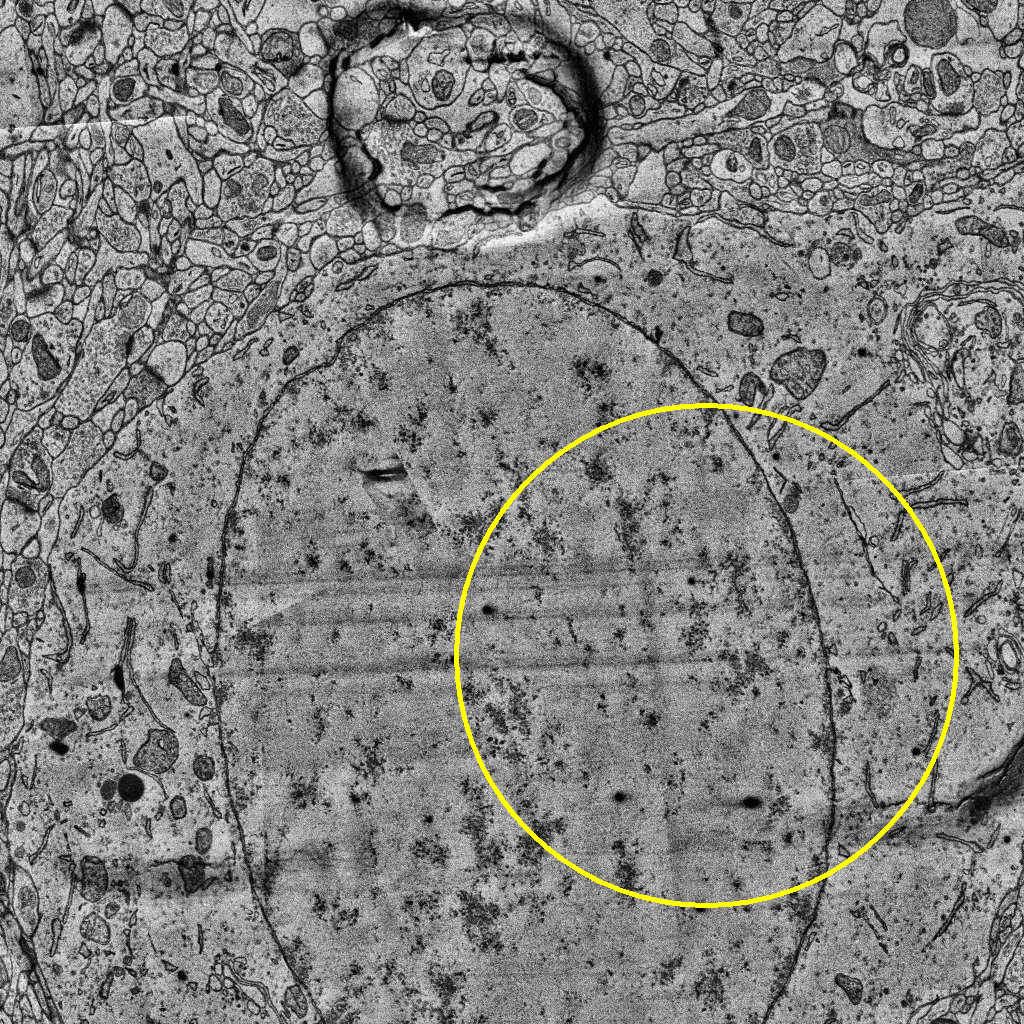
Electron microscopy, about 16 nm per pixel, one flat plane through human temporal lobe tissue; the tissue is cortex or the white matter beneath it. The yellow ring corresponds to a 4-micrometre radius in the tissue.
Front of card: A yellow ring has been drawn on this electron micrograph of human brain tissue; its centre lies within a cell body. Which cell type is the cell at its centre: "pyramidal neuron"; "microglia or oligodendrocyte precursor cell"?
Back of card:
pyramidal neuron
